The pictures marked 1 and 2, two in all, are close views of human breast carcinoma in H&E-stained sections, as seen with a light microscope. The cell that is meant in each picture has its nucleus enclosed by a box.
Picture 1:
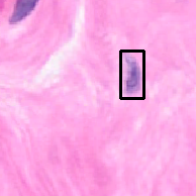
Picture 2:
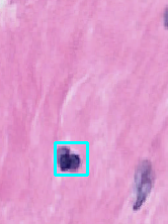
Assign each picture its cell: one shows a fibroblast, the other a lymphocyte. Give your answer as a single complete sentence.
It is picture 1 that shows a fibroblast, and picture 2 that shows a lymphocyte.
